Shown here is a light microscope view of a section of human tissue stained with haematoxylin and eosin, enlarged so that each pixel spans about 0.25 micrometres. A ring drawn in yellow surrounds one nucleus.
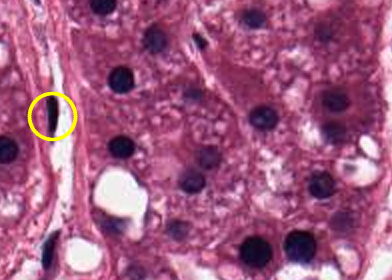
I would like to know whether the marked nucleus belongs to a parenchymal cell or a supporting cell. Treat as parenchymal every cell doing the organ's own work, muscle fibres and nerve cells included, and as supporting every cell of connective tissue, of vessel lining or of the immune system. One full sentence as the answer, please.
As for the marked nucleus, it belongs to a supporting cell.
